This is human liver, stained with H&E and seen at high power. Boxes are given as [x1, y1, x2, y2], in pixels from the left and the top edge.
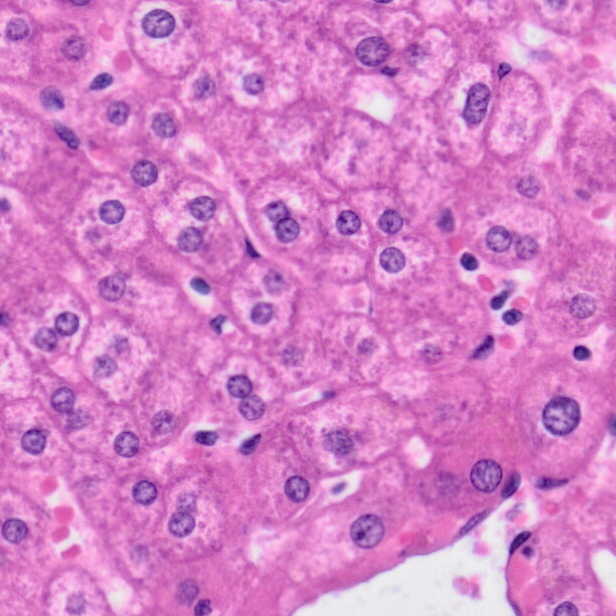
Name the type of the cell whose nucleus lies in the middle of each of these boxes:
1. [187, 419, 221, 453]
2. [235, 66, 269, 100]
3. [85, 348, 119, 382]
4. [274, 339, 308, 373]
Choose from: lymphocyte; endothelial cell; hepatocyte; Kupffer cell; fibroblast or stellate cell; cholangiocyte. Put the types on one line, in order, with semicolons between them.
lymphocyte; hepatocyte; hepatocyte; hepatocyte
